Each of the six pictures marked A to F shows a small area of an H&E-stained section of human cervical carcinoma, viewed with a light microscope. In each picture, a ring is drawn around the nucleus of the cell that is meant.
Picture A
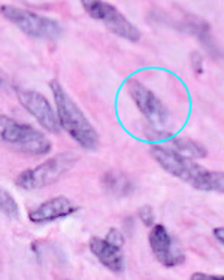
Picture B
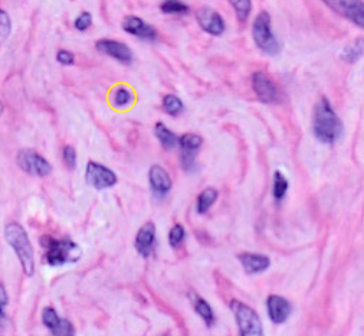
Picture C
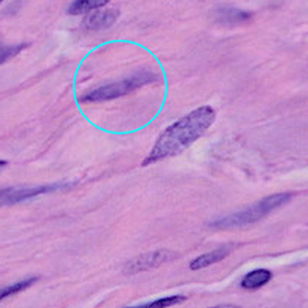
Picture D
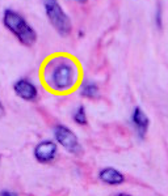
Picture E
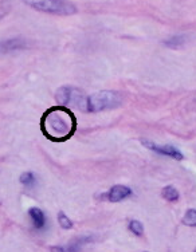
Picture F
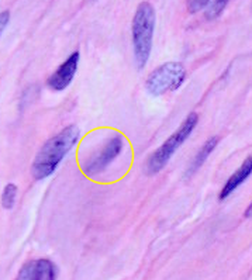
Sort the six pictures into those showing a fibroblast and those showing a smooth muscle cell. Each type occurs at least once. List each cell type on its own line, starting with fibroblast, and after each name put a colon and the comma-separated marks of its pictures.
fibroblast: C, F
smooth muscle cell: A, B, D, E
